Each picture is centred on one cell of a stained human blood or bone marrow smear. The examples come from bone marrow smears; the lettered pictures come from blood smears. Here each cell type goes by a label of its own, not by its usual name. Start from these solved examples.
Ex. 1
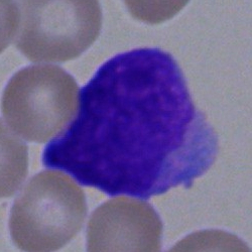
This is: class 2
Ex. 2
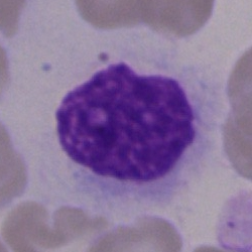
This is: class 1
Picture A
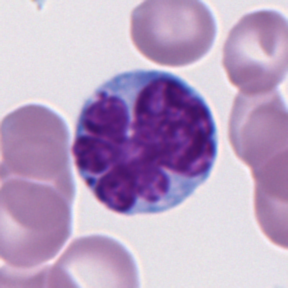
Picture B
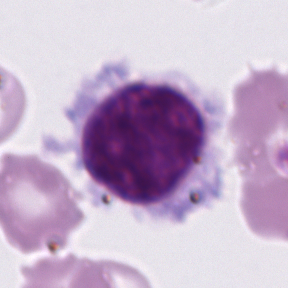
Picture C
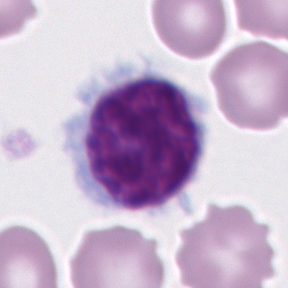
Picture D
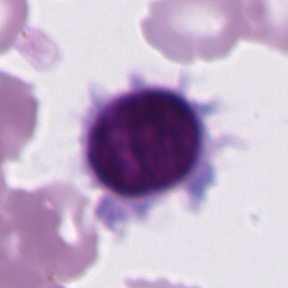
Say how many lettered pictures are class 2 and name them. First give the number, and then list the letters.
1: A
